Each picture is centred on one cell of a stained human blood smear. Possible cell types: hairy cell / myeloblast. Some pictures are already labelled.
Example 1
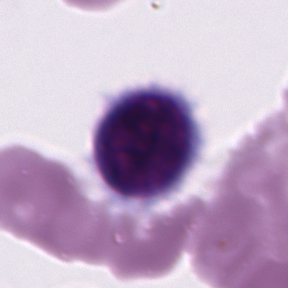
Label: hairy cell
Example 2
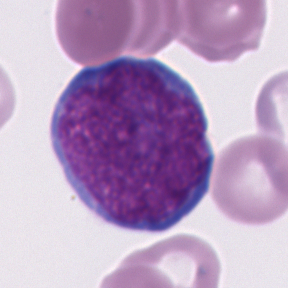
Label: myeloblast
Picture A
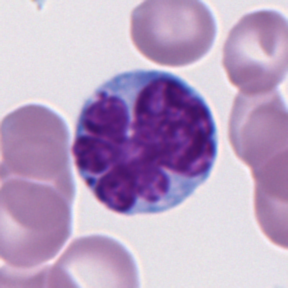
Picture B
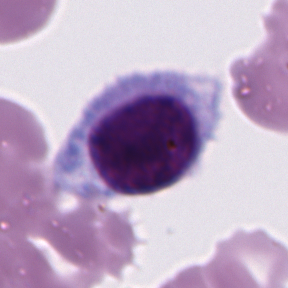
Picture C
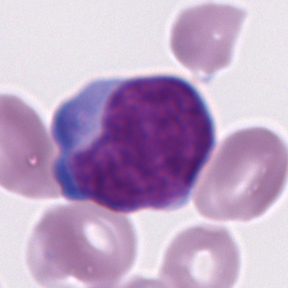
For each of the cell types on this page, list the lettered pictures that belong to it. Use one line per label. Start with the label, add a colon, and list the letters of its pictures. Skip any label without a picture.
hairy cell: B
myeloblast: A, C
